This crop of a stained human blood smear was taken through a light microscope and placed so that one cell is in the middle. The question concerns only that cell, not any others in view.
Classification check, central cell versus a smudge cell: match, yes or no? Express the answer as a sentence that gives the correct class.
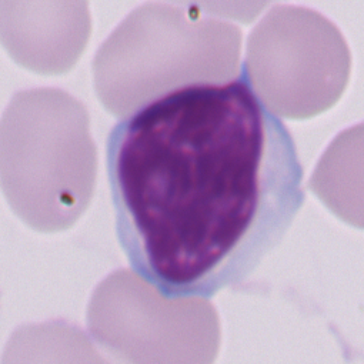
No, instead of a smudge cell, the middle cell is a typical lymphocyte.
